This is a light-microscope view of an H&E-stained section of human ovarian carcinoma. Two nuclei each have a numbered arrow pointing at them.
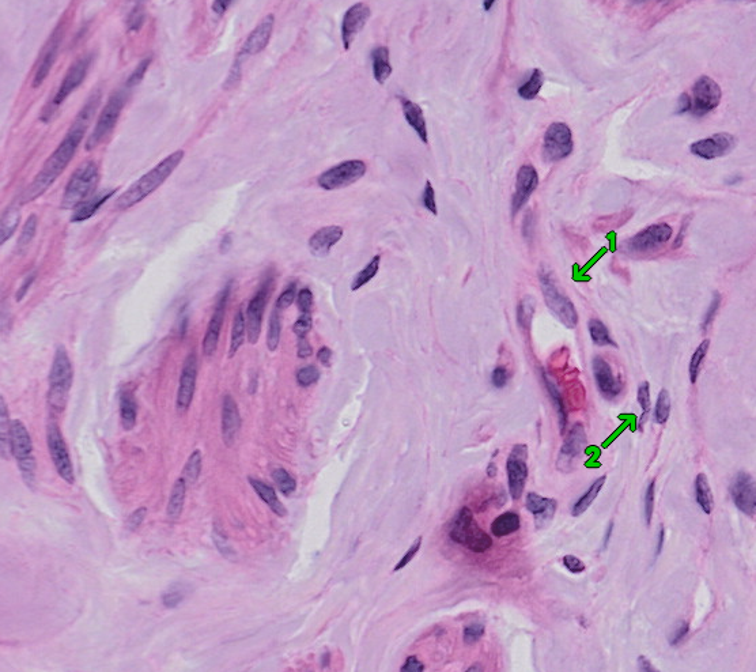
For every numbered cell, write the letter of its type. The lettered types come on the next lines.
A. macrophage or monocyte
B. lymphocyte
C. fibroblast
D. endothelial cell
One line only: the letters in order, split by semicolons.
D; C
